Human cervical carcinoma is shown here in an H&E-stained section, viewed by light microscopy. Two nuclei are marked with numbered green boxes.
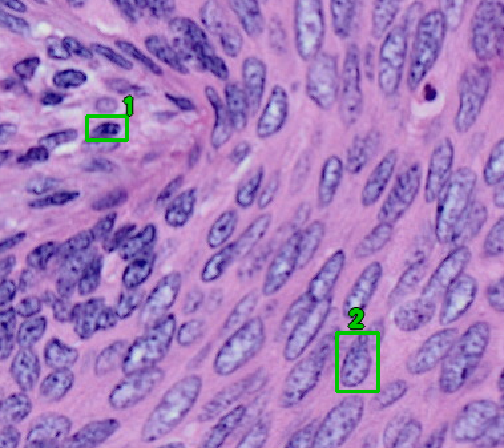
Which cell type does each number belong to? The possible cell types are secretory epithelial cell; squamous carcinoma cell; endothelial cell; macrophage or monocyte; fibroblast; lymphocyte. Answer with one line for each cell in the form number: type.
1: lymphocyte
2: squamous carcinoma cell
